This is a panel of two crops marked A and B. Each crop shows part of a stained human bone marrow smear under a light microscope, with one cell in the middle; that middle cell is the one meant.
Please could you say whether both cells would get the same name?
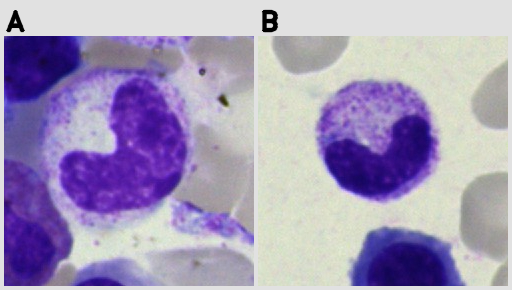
yes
